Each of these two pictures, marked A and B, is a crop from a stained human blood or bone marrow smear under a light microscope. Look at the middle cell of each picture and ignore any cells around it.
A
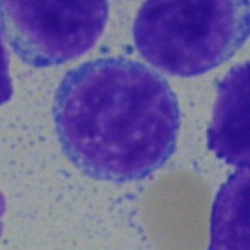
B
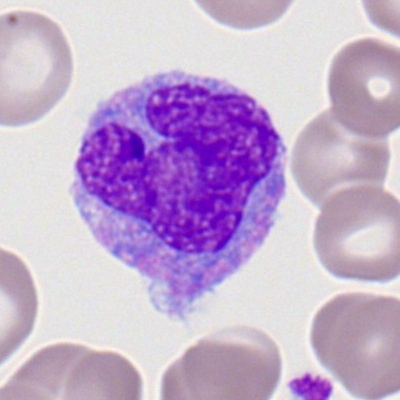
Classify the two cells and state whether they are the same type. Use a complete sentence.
No, the labels go like this: crop A is a lymphocyte and crop B is a monocyte.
